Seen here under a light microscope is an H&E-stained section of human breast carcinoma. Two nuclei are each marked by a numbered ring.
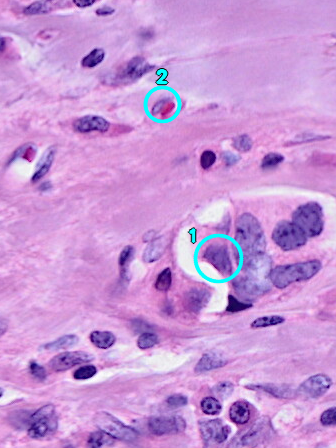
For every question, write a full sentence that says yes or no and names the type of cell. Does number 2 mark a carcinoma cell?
No, number 2 identifies an endothelial cell, not a carcinoma cell.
